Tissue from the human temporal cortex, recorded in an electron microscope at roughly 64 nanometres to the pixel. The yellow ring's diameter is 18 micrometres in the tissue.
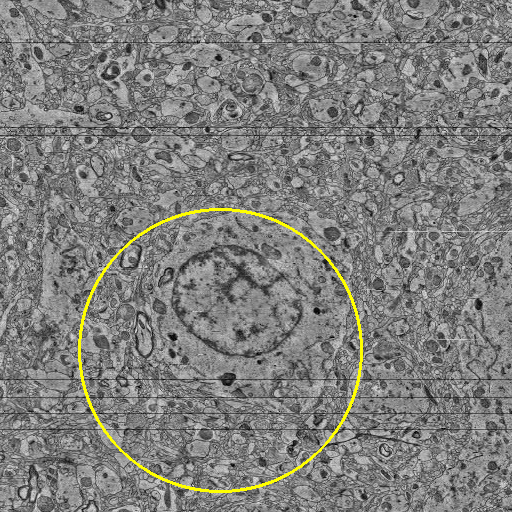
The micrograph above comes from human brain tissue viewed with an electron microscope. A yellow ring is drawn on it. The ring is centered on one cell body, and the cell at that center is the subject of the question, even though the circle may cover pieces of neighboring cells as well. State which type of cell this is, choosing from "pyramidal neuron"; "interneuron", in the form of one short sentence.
The cell the ring is centered on is a pyramidal neuron.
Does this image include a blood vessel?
No.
